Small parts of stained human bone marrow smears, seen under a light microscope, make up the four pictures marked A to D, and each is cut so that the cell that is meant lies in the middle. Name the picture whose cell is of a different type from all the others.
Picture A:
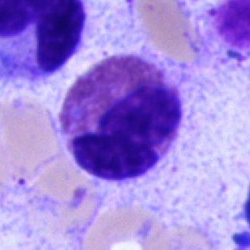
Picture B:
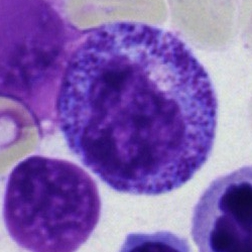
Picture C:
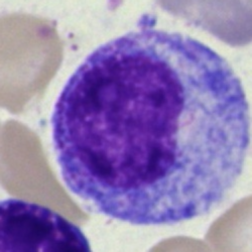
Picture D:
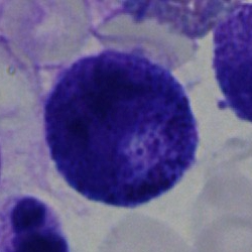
A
